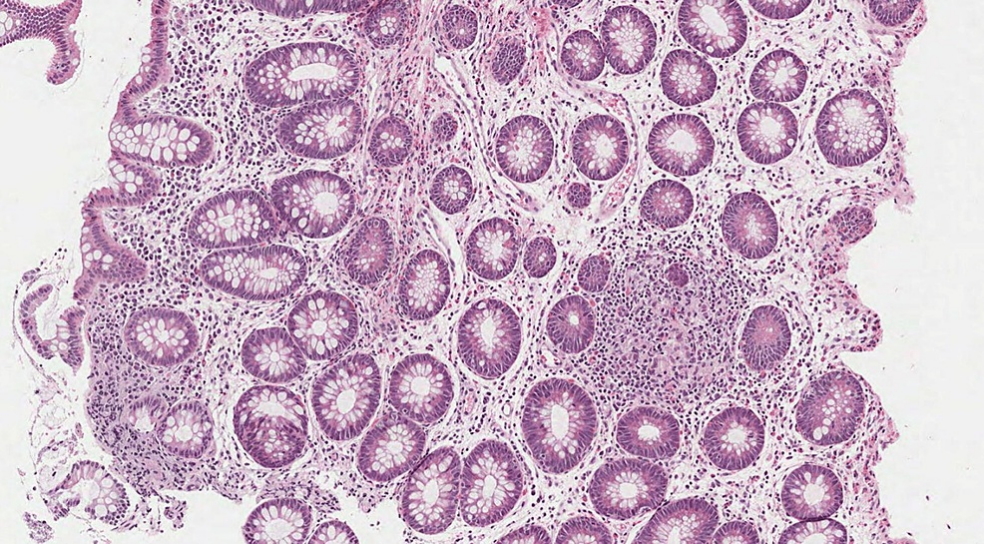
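This is colonic mucosa with crypts cut mostly in cross-section, each lined by columnar epithelial cells with basal purple nuclei and filled with goblet cells whose mucin appears as clear vacuoles. The crypts vary somewhat in size and spacing, and a strip of surface epithelium runs along the left edge. The lamina propria between the crypts holds a cellular infiltrate of small round cells with dark nuclei, most dense along the left side. Right of centre in the lower half lies a rounded, poorly demarcated aggregate of larger cells with pale pink cytoplasm and oval, pale nuclei, set apart from the darker surrounding infiltrate and pushing between the crypts. The remaining stroma is loose and pale pink, with scattered spindle-shaped nuclei.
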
